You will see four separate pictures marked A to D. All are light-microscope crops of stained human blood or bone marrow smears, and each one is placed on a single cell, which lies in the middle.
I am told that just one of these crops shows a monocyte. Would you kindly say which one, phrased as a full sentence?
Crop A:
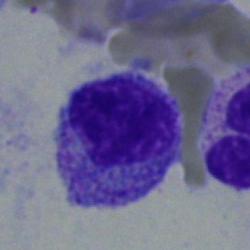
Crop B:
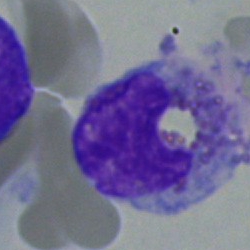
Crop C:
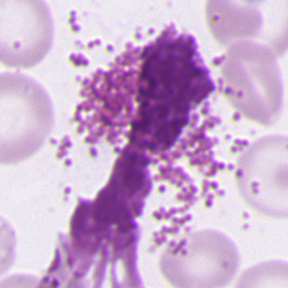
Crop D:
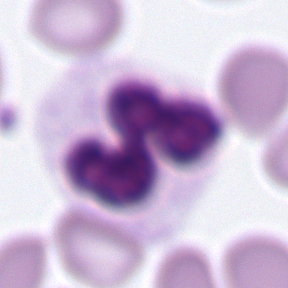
Crop B is the crop in which a monocyte is shown.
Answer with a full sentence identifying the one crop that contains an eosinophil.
Among these crops, crop C holds an eosinophil.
